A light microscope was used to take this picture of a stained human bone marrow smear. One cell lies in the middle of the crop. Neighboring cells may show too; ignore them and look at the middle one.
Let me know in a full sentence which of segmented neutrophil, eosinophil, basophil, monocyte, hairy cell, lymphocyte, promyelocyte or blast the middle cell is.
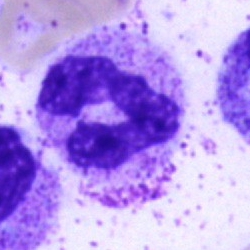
Regarding the central cell, it is a segmented neutrophil.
